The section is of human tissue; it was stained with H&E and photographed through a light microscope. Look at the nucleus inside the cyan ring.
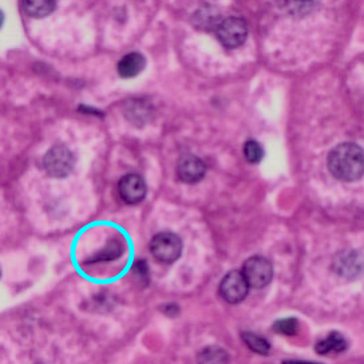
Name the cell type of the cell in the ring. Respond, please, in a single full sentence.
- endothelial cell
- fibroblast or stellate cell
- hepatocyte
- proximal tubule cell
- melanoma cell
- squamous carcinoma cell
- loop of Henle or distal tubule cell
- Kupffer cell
In this tissue sample, the cell in the ring is a Kupffer cell.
